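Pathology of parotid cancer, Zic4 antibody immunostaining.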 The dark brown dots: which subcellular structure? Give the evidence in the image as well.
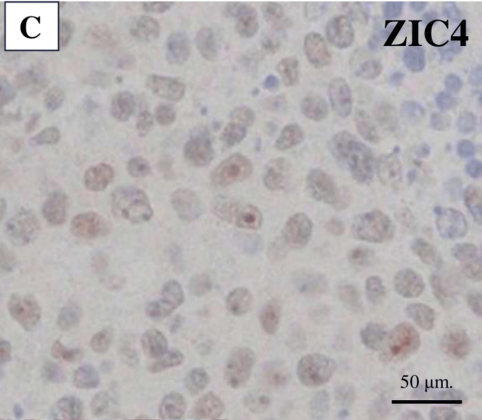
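Small dark brown dots sit inside several nuclei.
Answer: nucleoli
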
